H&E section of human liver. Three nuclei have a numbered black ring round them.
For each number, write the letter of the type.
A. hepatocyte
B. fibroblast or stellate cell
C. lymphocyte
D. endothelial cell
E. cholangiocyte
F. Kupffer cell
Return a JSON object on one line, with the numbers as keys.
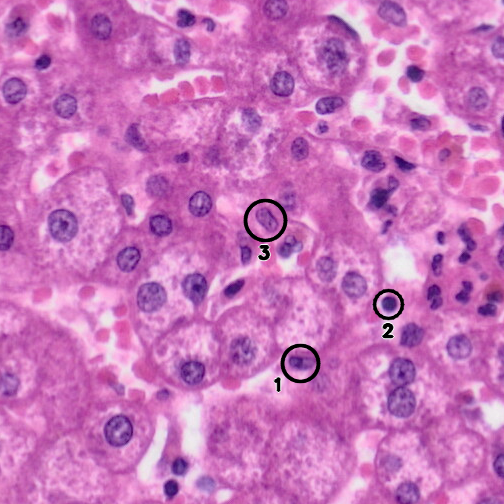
{"1": "F", "2": "C", "3": "F"}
